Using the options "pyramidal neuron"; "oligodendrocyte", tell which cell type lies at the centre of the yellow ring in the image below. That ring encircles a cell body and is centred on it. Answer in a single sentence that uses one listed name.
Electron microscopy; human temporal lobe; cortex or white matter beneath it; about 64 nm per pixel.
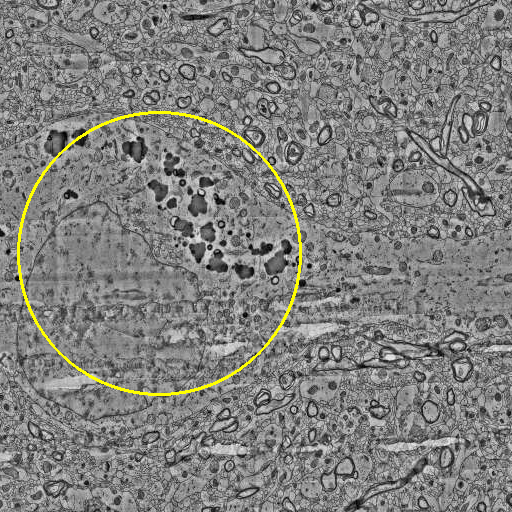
At the centre of the yellow ring lies the body of a pyramidal neuron.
